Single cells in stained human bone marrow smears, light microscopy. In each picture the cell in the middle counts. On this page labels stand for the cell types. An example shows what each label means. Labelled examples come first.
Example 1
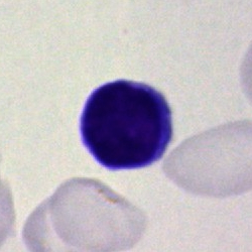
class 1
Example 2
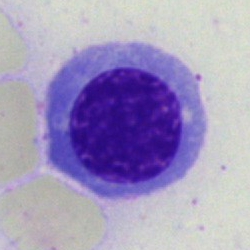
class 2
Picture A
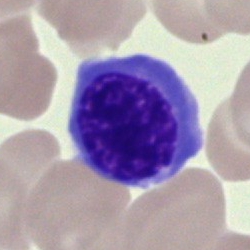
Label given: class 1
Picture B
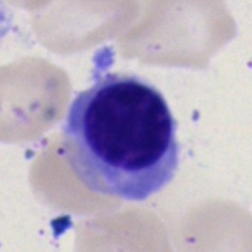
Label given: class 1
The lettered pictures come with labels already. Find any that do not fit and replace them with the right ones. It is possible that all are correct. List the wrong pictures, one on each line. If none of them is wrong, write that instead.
Wrong: A (class 1); correct: class 2
Wrong: B (class 1); correct: class 2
